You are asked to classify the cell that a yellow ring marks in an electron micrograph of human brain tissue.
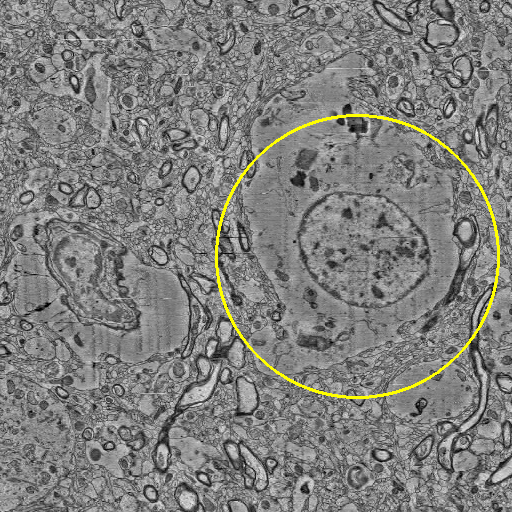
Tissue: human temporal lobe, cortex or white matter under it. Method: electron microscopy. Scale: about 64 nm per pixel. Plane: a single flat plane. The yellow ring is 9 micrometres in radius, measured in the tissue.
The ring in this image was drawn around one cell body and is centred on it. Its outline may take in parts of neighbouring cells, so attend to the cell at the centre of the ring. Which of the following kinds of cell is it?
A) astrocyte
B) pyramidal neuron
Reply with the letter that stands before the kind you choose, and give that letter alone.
A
